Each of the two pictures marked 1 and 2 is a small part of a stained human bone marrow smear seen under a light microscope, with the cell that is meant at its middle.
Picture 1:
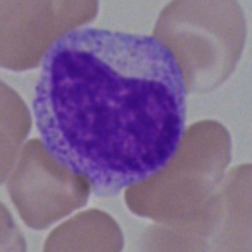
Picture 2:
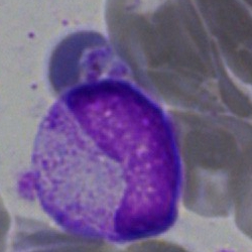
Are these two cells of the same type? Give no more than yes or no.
yes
